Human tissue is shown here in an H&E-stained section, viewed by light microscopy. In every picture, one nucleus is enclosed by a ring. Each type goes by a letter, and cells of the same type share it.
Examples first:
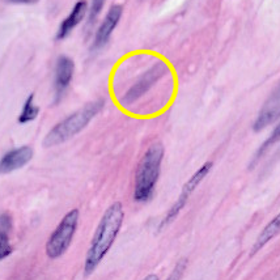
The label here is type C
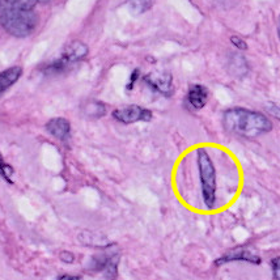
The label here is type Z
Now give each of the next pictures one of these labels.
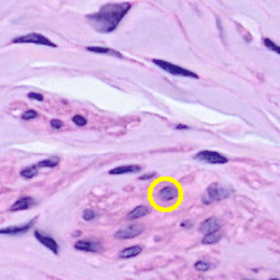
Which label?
type C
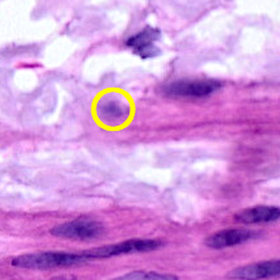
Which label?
type C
